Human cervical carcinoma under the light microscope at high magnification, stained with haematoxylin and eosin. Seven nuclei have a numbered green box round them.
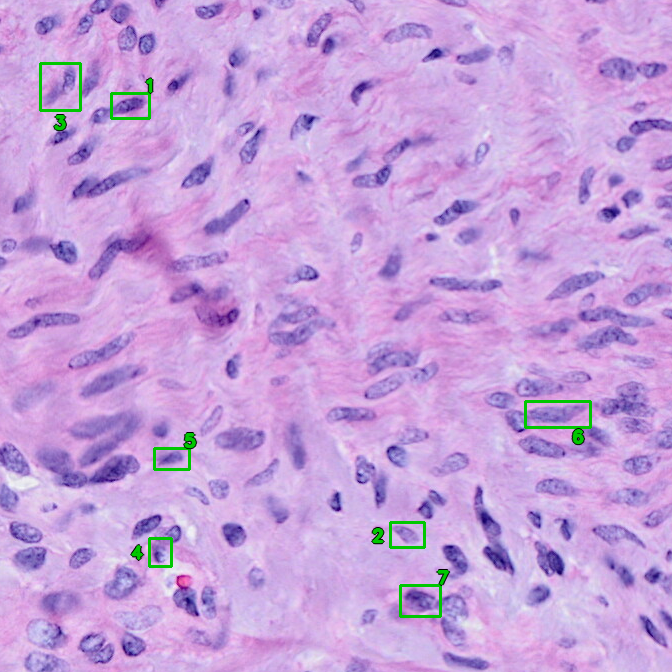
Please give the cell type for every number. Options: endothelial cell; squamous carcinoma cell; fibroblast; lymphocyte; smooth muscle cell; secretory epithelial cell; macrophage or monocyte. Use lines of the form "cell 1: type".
cell 1: smooth muscle cell
cell 2: fibroblast
cell 3: smooth muscle cell
cell 4: endothelial cell
cell 5: fibroblast
cell 6: smooth muscle cell
cell 7: endothelial cell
